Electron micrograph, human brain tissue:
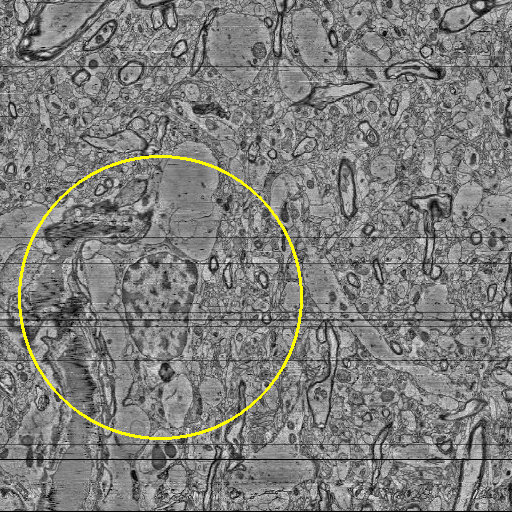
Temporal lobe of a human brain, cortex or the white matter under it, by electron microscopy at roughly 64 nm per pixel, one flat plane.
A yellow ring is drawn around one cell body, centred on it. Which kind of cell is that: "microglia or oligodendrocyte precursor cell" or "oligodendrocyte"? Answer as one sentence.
It is a microglial cell or oligodendrocyte precursor cell at the centre of the ring.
